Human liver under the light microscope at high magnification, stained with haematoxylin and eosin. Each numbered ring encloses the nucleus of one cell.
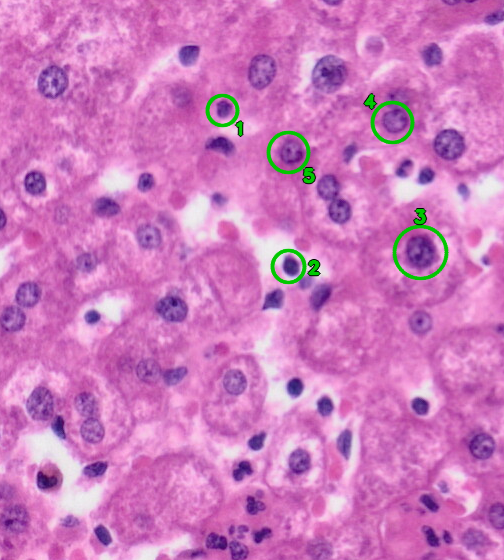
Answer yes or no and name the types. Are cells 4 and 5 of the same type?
Yes, cells 4 and 5 fall into the same group, both being hepatocytes.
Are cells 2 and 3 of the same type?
No, whereas cell 3 is a hepatocyte, cell 2 is a lymphocyte.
